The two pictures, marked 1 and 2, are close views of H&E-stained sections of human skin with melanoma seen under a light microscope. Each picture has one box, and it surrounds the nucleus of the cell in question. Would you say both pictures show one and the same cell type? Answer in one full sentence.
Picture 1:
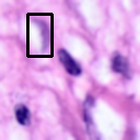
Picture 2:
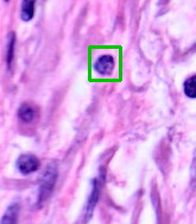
No. Picture 1 shows a “fibroblast or myofibroblast”, but picture 2 shows a lymphocyte.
